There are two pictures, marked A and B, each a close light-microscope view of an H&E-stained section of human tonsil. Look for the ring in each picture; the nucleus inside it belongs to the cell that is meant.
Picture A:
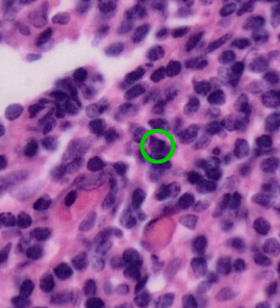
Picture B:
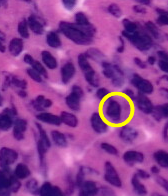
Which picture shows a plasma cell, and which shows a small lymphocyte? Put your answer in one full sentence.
Picture B shows a plasma cell, while picture A shows a small lymphocyte.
